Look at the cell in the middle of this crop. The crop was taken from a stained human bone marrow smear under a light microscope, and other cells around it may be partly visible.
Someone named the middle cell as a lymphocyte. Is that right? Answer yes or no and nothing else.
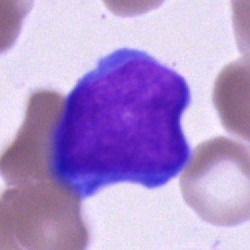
no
